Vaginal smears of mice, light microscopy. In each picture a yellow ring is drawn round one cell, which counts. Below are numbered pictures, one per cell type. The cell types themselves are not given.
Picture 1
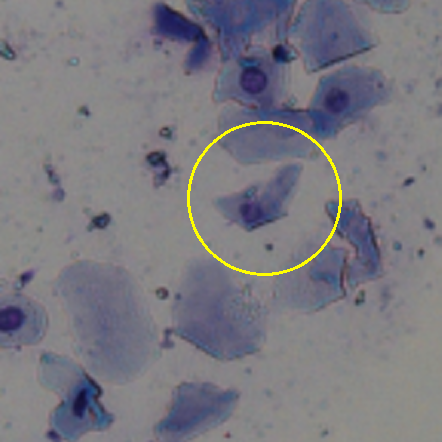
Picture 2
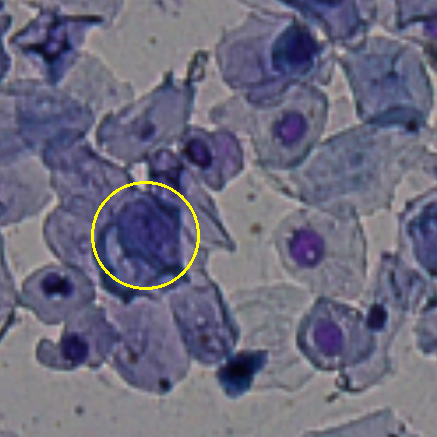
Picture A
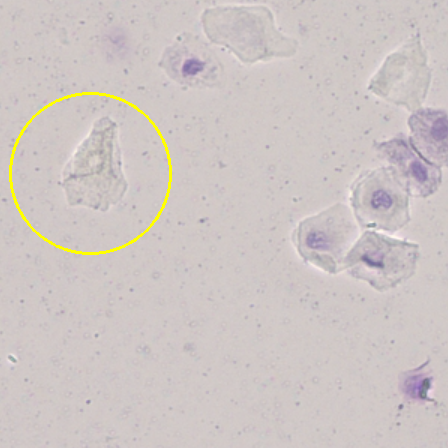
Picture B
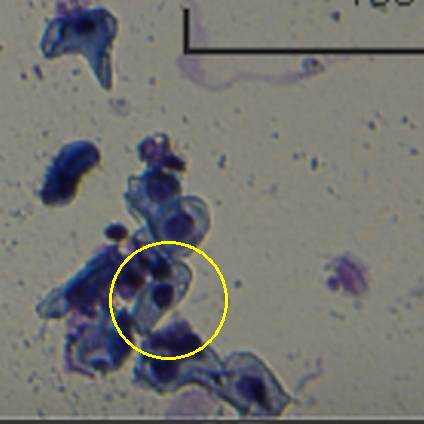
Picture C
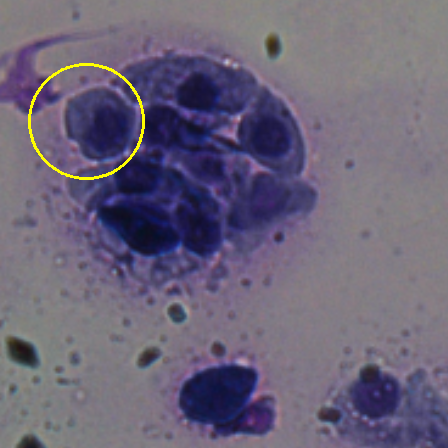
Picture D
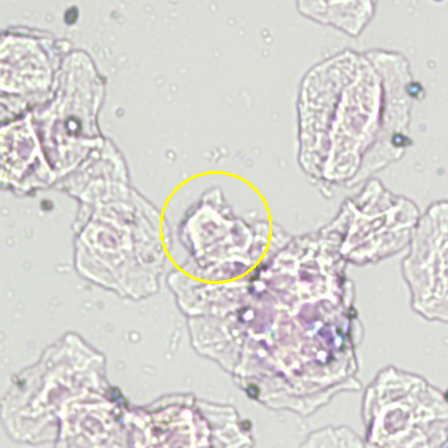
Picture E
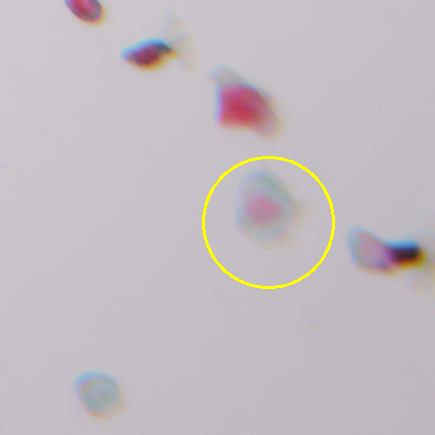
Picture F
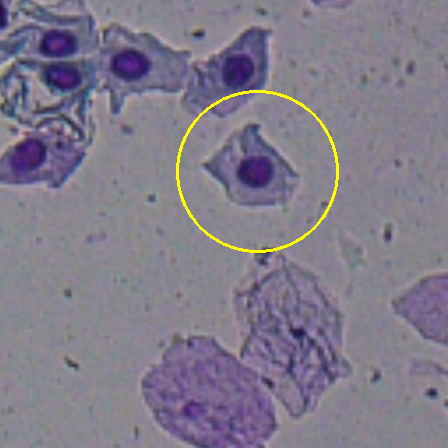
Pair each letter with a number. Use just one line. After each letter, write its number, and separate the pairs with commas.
A 2, B 1, C 1, D 2, E 1, F 1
